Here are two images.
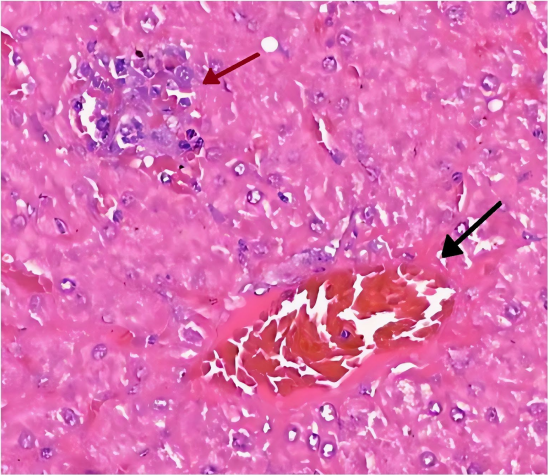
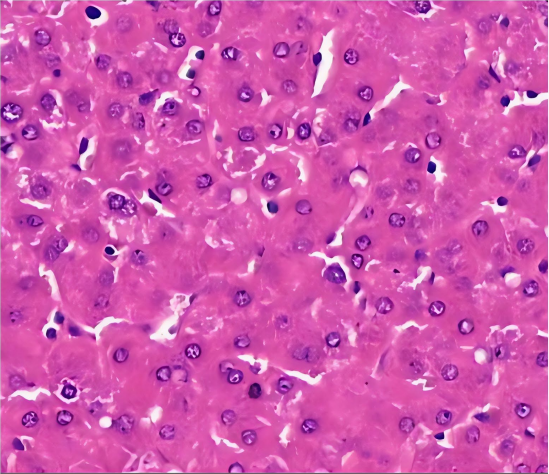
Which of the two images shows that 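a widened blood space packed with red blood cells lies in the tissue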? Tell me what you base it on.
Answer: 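The first image. Second image: only narrow clefts lie between the cords of liver cells, with no pooled blood. First image: a large space filled with red-staining blood lies among the liver cells.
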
